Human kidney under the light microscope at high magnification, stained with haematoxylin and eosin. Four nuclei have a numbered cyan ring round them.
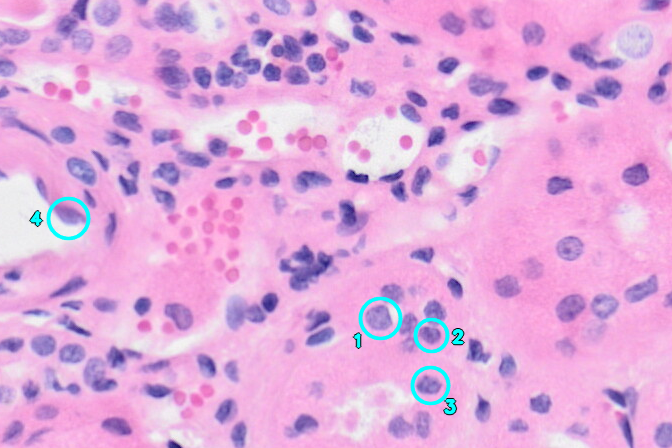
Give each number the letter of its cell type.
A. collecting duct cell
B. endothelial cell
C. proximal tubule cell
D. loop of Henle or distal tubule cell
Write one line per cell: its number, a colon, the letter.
1: D
2: D
3: D
4: B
